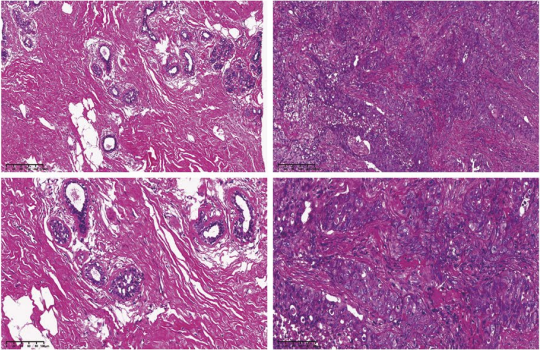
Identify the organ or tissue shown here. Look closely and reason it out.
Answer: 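Breast tissue. Small ducts and lobular units lined by epithelium lie in dense pink fibrous stroma. Clear fat spaces are present in the stroma of the left images.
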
